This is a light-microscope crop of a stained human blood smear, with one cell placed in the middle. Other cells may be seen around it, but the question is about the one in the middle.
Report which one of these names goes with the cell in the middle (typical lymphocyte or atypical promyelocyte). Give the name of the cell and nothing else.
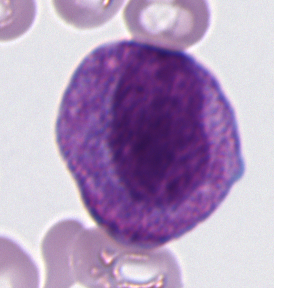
atypical promyelocyte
